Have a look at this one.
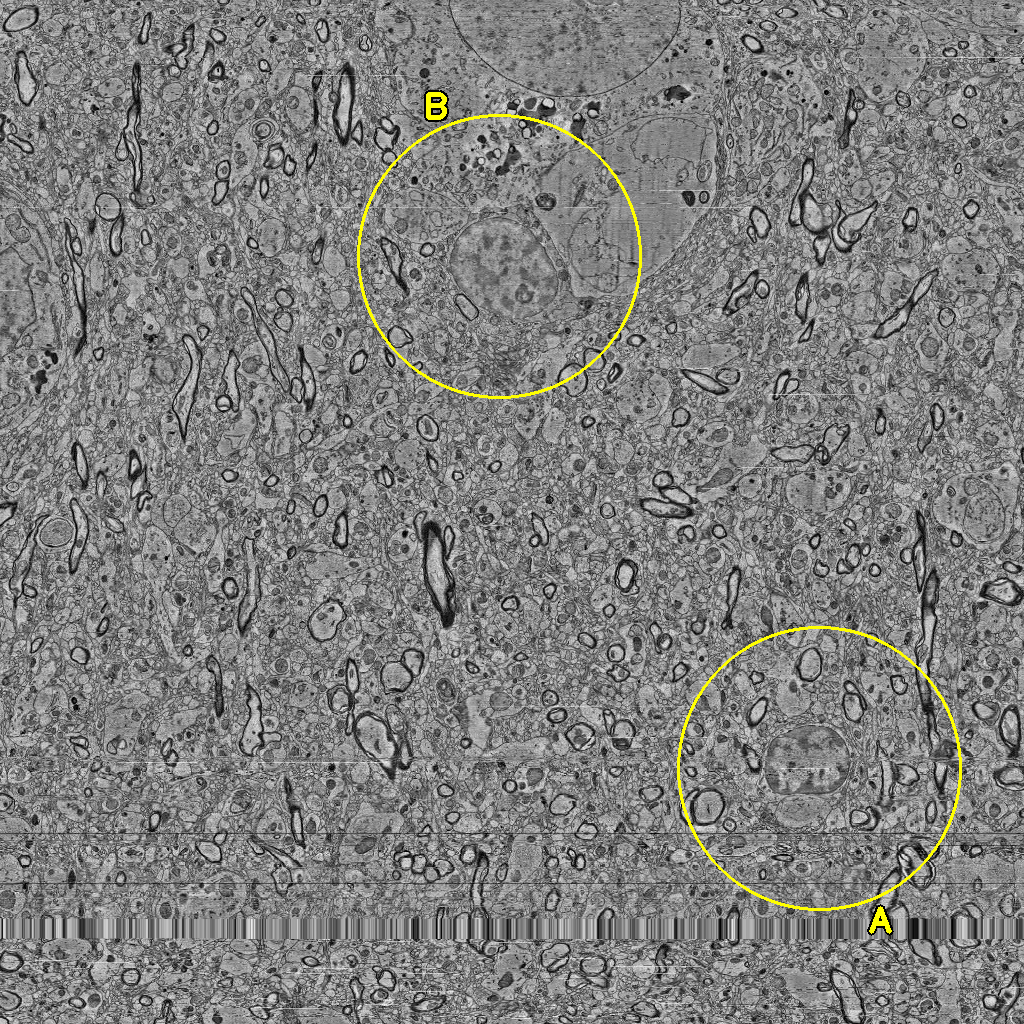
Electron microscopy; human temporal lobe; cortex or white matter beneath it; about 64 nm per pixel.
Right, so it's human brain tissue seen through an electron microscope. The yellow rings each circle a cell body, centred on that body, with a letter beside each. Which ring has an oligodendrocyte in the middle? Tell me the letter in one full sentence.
That kind of cell is sitting in the middle of ring B there.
